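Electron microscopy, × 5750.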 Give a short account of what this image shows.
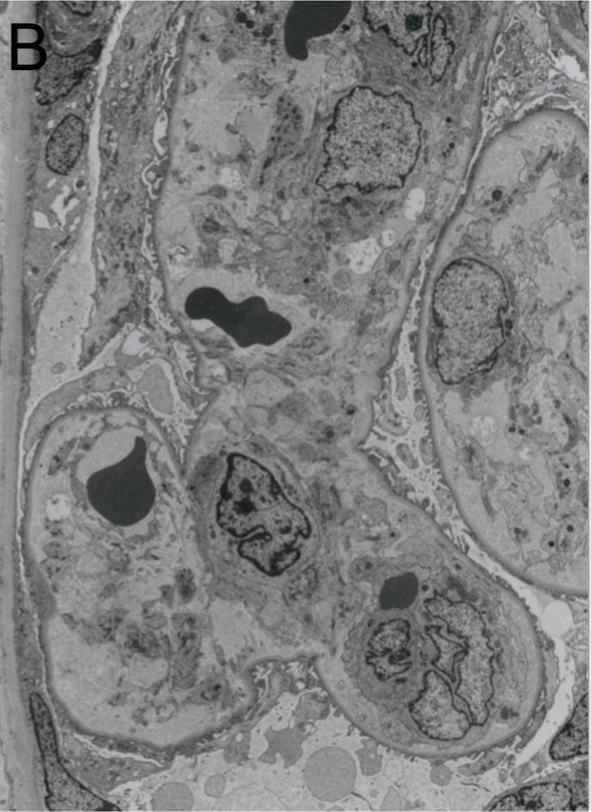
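Glomerular capillary loops show markedly thickened walls, with a broad pale layer lying between swollen endothelial cells and the outer basement membrane. The lumina are narrowed to small channels, and uniformly dark red blood cells lie within the loops.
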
